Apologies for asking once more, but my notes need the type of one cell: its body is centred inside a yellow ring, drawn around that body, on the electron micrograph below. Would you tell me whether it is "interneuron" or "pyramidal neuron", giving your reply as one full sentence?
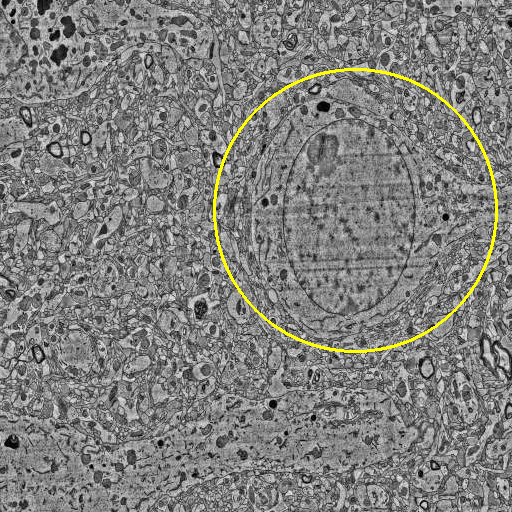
The cell that the yellow ring is centred on is a pyramidal neuron in this micrograph.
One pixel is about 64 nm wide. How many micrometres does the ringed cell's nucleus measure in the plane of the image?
The nucleus has a long axis of about 12 micrometres and a short axis of about 9 micrometres in this plane.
